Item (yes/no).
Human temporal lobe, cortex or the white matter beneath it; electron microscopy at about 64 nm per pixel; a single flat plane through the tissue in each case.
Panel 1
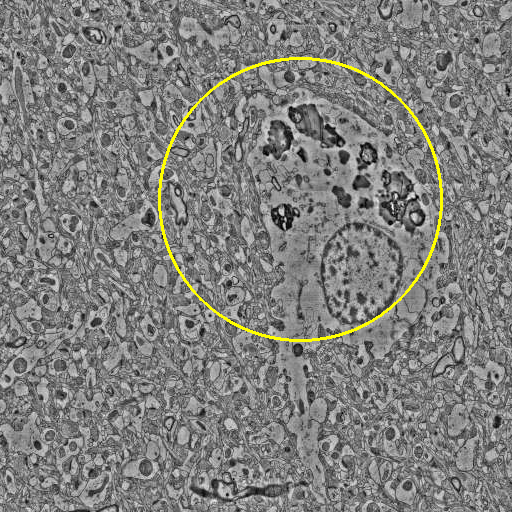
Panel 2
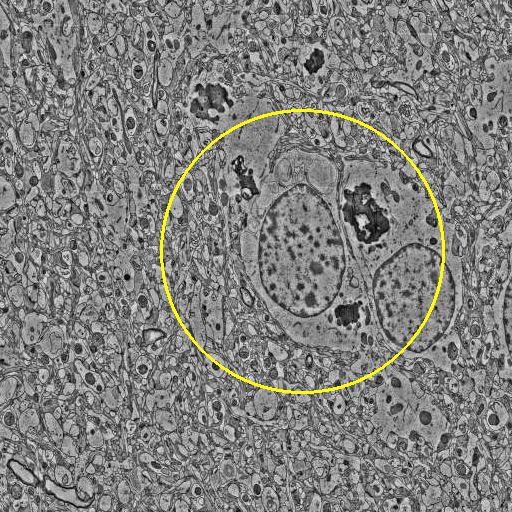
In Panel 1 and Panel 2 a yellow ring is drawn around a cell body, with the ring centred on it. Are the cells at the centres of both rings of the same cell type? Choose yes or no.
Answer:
no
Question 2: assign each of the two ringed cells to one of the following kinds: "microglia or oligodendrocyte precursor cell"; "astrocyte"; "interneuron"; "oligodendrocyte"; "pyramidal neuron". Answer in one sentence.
The two cells are an oligodendrocyte in the first picture and an astrocyte in the second.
